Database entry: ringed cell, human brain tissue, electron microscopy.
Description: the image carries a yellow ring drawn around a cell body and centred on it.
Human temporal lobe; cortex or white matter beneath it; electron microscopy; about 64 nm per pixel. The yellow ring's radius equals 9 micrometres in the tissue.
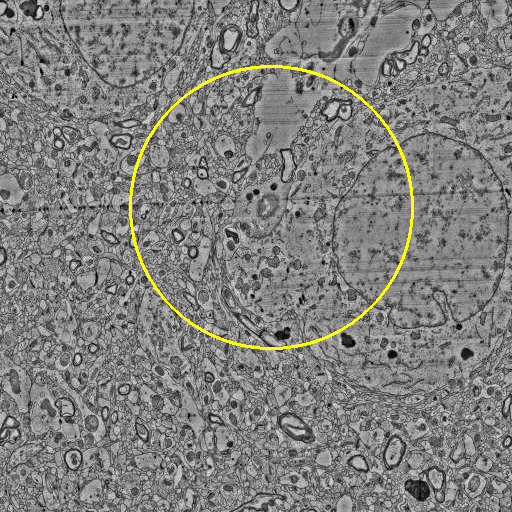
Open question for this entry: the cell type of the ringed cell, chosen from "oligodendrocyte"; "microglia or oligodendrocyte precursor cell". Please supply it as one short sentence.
The ringed cell is an oligodendrocyte.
